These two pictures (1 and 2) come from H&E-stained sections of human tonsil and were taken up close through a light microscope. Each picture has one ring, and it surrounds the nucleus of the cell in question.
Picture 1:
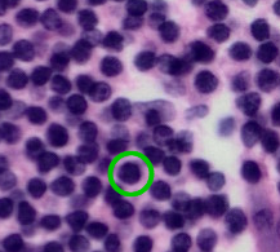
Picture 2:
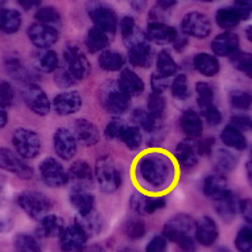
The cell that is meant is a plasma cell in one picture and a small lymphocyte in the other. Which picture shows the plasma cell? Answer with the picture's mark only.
2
